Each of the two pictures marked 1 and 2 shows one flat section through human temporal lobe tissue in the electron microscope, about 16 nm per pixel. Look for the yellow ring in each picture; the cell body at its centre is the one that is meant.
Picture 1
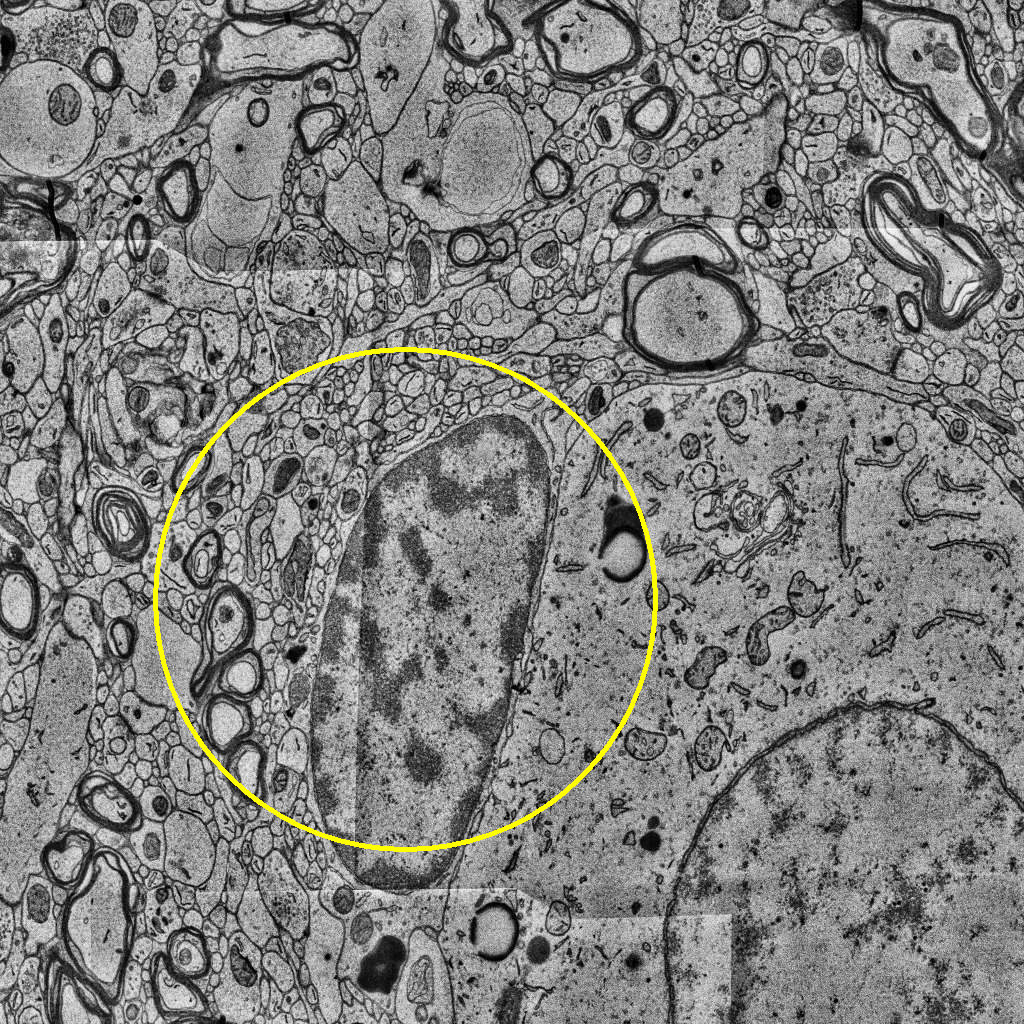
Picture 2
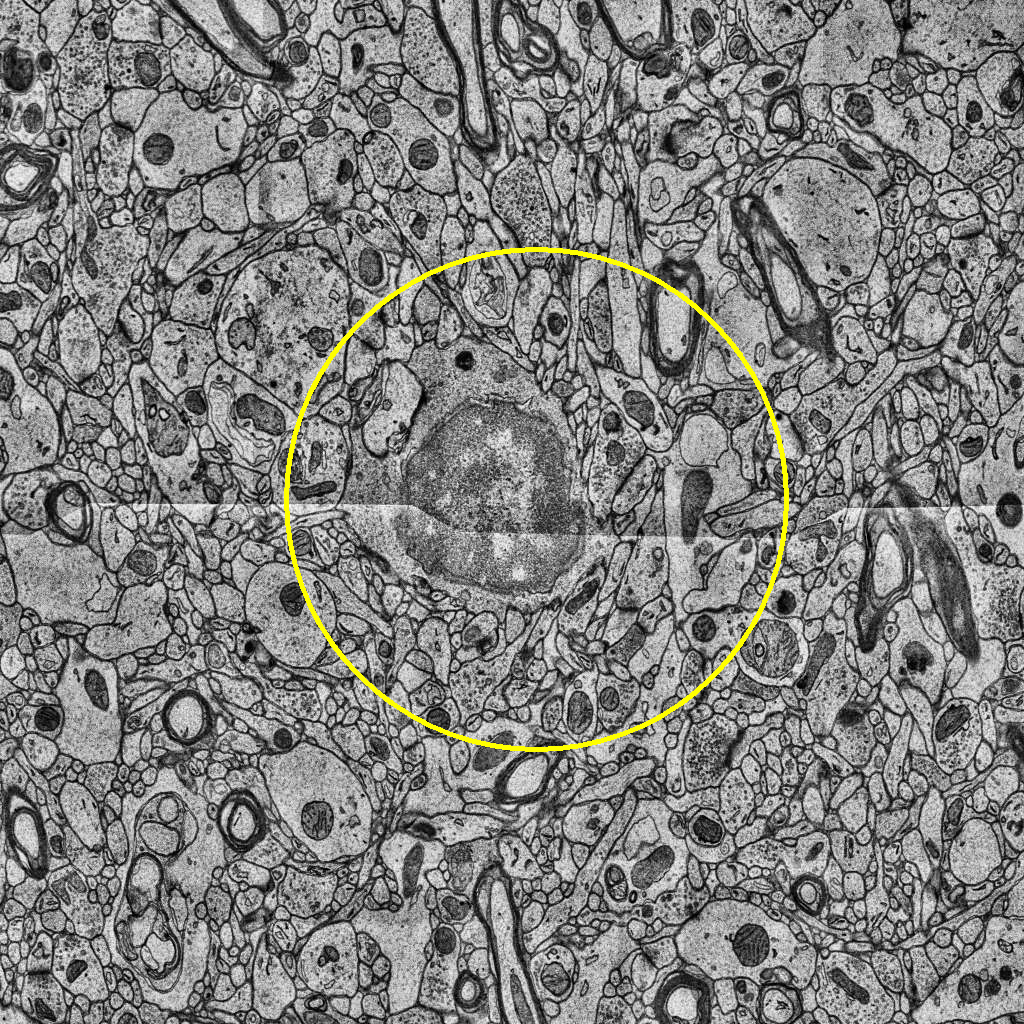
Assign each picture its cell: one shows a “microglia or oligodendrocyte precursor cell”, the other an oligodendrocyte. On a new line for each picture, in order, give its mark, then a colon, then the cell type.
1: microglia or oligodendrocyte precursor cell
2: oligodendrocyte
